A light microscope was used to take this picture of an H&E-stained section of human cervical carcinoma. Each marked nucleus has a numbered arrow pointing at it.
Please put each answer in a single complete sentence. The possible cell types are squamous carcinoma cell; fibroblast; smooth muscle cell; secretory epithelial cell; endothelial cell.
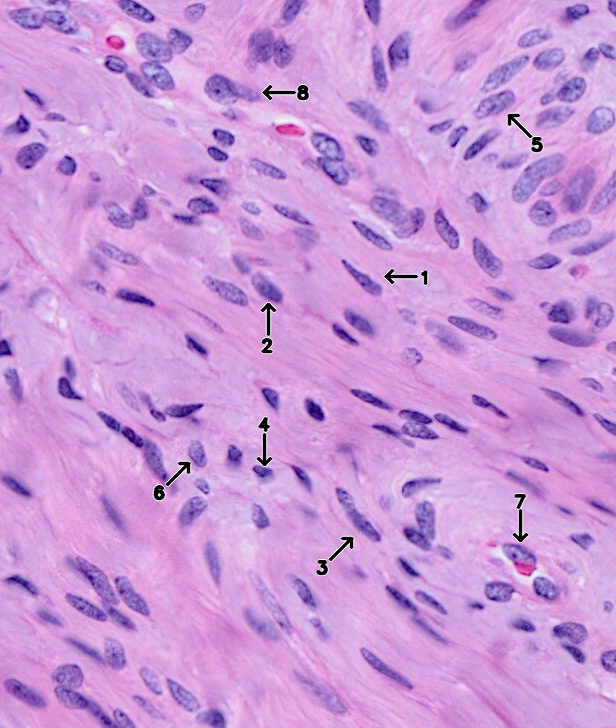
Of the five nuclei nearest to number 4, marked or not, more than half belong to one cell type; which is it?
Fibroblasts account for more than half of the five nuclei nearest to number 4.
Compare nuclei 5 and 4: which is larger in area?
The larger nucleus is 5, at roughly 3 times the area of 4.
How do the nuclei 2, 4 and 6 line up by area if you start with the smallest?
By area, going up from the smallest, they rank 4, 6, 2.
